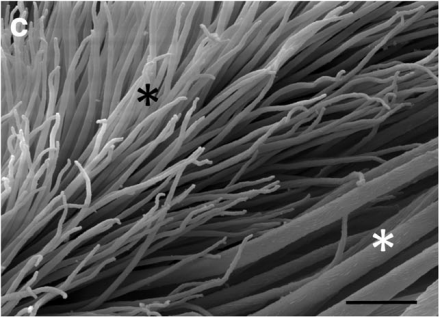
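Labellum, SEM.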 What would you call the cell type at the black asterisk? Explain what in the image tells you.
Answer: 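A dense mass of thin, curved, finger-like hairs. These hairs are shorter and thinner than the straight hairs at lower right. So: Short trichomes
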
